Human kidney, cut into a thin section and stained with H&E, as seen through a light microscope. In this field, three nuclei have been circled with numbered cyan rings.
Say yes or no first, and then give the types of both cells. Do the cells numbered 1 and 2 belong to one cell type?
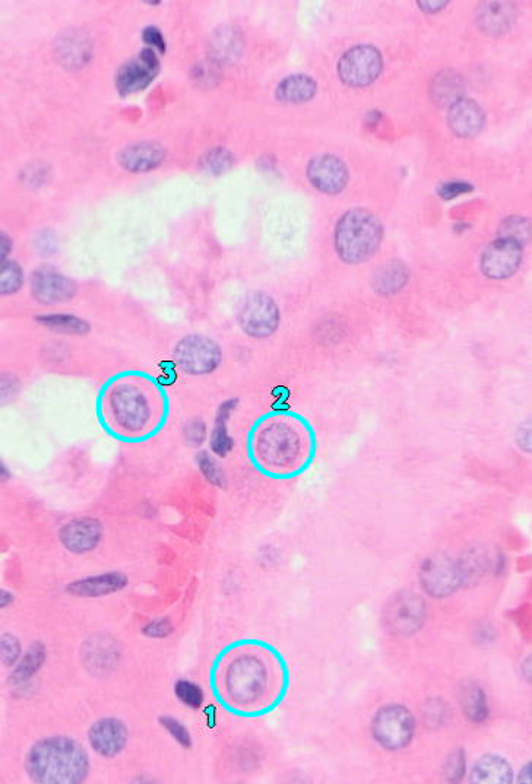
Yes, cells 1 and 2 fall into the same group, both being proximal tubule cells.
